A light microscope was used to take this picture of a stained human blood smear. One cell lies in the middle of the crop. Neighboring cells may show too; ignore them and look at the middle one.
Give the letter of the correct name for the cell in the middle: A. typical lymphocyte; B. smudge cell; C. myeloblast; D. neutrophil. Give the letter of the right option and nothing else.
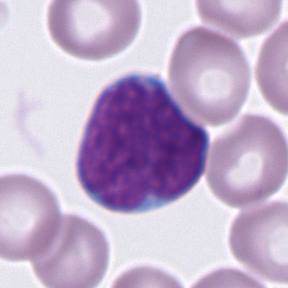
C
